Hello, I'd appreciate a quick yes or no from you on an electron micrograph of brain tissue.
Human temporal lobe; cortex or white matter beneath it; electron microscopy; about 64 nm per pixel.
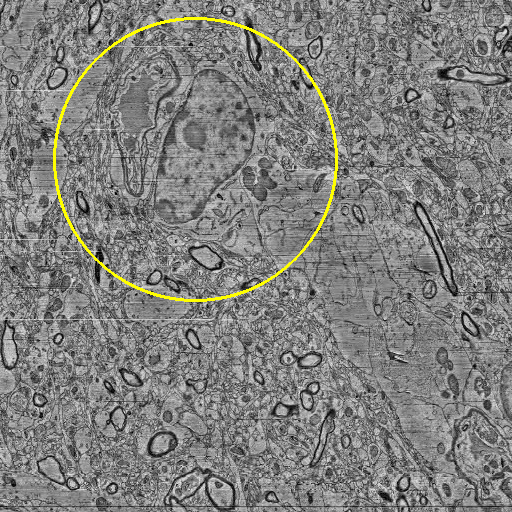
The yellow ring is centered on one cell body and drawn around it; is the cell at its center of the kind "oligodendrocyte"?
no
